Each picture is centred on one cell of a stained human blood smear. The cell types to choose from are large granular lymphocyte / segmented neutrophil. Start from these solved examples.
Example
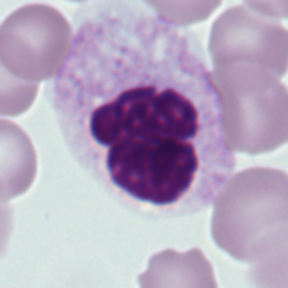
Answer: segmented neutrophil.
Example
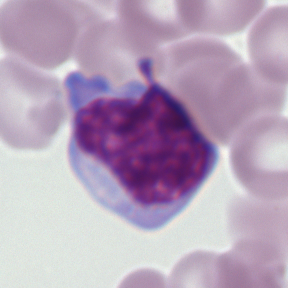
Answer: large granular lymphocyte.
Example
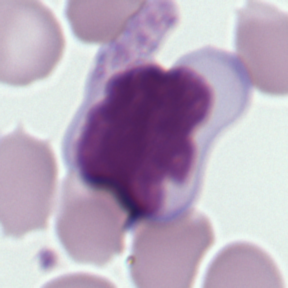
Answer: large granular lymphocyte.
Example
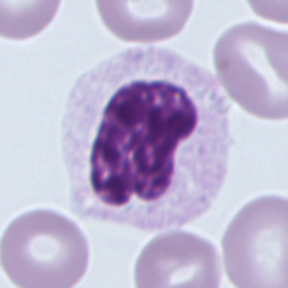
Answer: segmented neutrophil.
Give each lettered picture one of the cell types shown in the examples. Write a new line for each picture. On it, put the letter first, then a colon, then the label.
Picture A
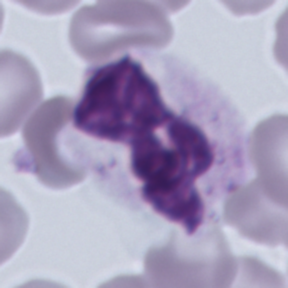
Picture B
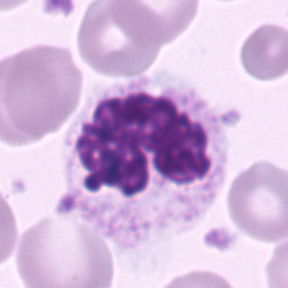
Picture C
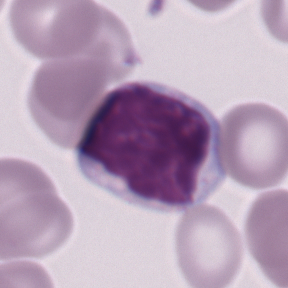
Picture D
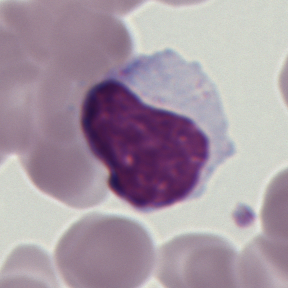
A: segmented neutrophil.
B: segmented neutrophil.
C: large granular lymphocyte.
D: large granular lymphocyte.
